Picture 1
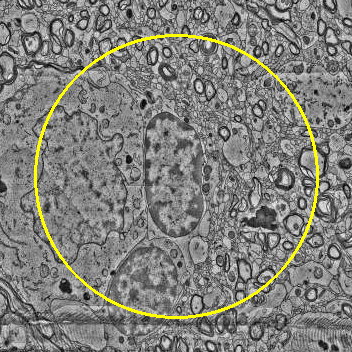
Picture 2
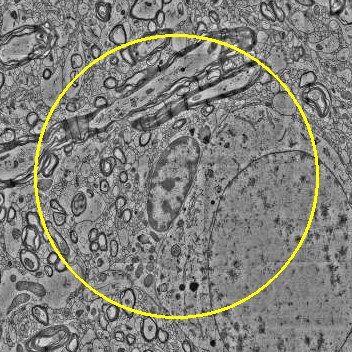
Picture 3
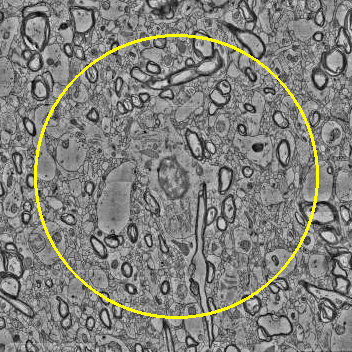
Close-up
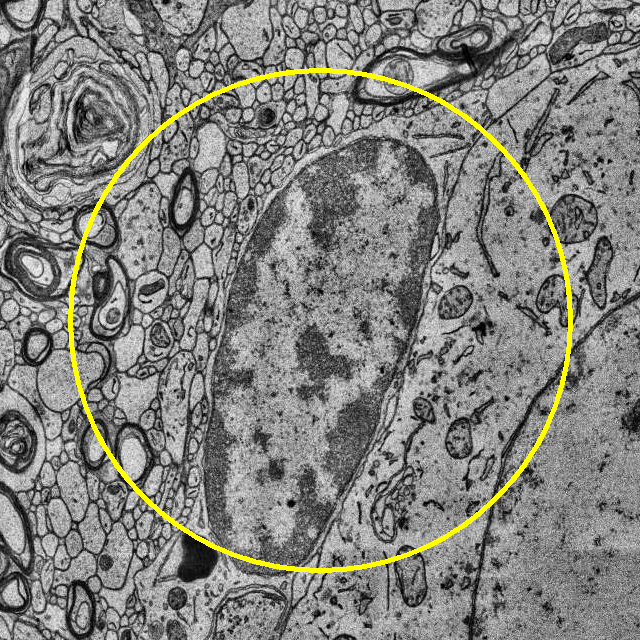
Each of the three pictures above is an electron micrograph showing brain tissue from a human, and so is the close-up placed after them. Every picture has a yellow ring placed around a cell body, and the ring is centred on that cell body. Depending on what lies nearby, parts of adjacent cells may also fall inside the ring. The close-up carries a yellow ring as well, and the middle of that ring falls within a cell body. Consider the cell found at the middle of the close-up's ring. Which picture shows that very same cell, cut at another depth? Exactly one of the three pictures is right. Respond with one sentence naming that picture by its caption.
The cell examined up close is the one ringed in Picture 2.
